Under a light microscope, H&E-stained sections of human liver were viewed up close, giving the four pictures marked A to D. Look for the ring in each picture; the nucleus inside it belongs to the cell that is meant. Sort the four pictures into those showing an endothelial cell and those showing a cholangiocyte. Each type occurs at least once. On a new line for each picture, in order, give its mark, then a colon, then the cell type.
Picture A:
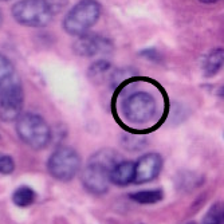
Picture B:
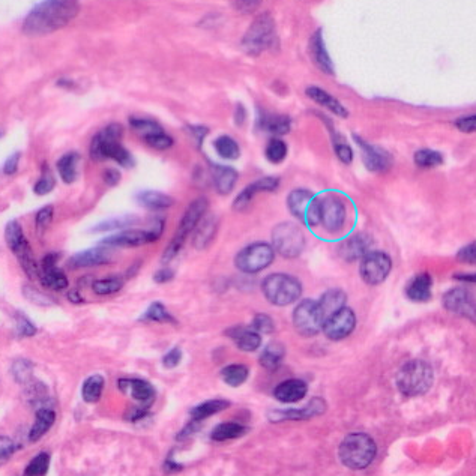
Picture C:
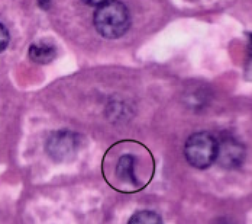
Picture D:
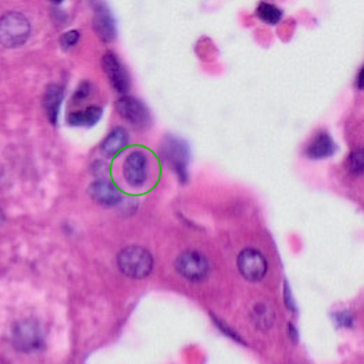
A: cholangiocyte
B: cholangiocyte
C: endothelial cell
D: cholangiocyte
